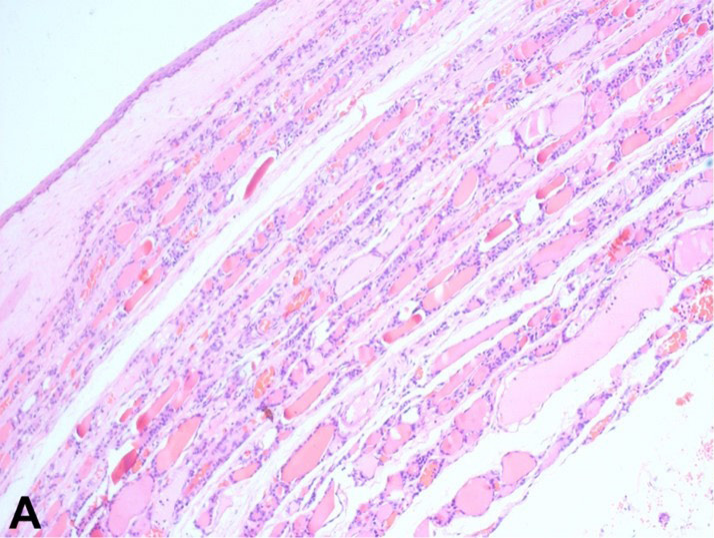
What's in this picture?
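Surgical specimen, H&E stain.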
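A cyst wall lined by squamous epithelium, with a rim of compressed thyroid tissue below it. The follicles are flattened and stretched into elongated shapes, lined up parallel to the surface as if pressed by the cyst. Between them are cords of small cells with purple nuclei, and small vessels packed with red blood cells. Clefts separate some of the follicle rows.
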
